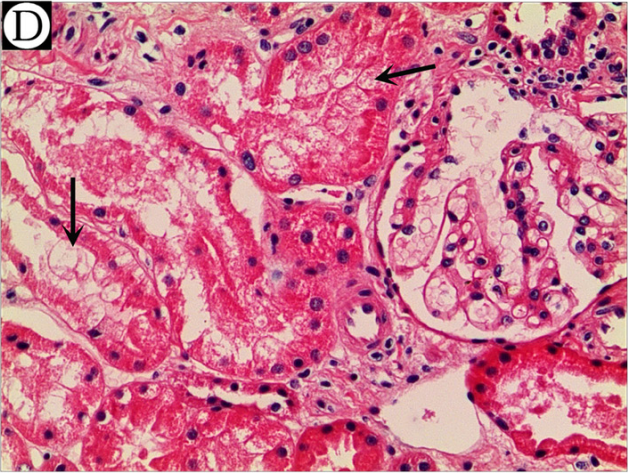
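Kidney cortex with renal tubules whose epithelial cells show vacuolar change, and a glomerulus at the right. Many tubular epithelial cells are swollen and have pale, foamy, finely vacuolated pink cytoplasm that fills much of the lumen, unlike the few intact tubules at the lower right and bottom, whose cells have solid, deeply pink cytoplasm and a single round dark nucleus. The glomerular tuft at the right has open capillary loops within Bowman's space. The interstitium between the tubules is loose and pale, with a small cluster of dark round nuclei at the upper right.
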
